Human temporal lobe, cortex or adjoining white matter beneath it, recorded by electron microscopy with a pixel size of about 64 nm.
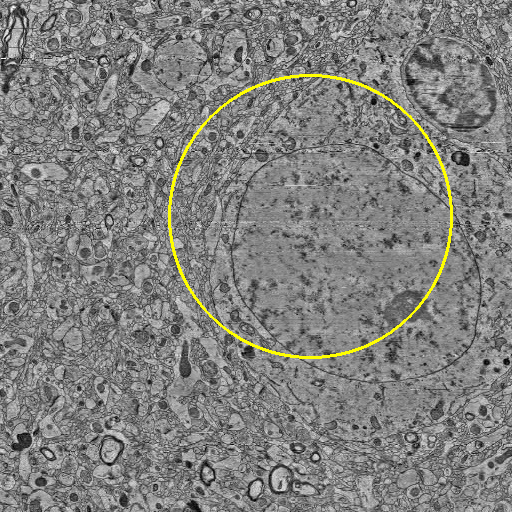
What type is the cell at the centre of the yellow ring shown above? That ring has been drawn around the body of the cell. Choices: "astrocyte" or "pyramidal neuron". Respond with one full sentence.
My answer is that a pyramidal neuron lies at the centre of the yellow ring above.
